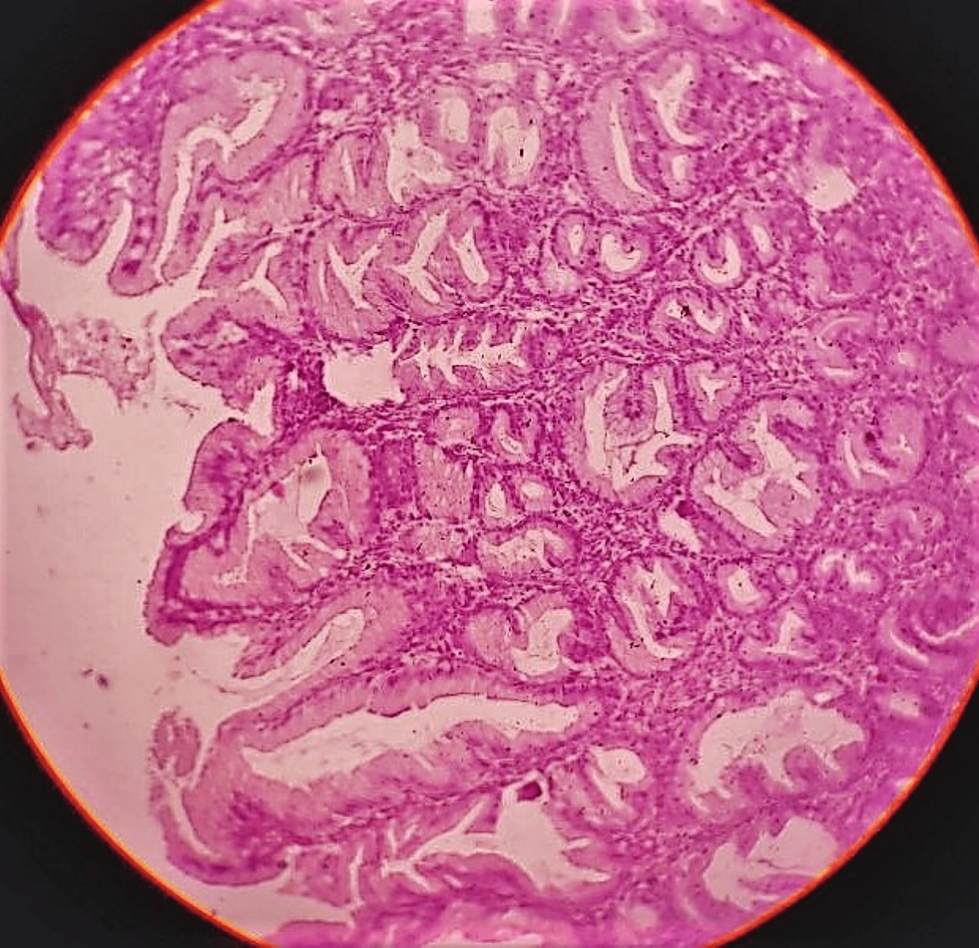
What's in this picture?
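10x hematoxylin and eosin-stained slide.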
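This is a low-power view of mucosa made up of densely packed foveolar glands lined by tall columnar cells, with the surface along the left side. The lining cells have pale pink, mucin-rich cytoplasm toward the lumen and small dark purple nuclei lined up at the base. The glands are crowded, elongated and twisted, so that their cut lumens look zigzag, serrated or corkscrew-like. Between the glands lies a modest cellular stroma that stains a deeper pink-purple with scattered dark nuclei. Here and there a gland lumen is distinctly widened, as in the long open space near the bottom of the field.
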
